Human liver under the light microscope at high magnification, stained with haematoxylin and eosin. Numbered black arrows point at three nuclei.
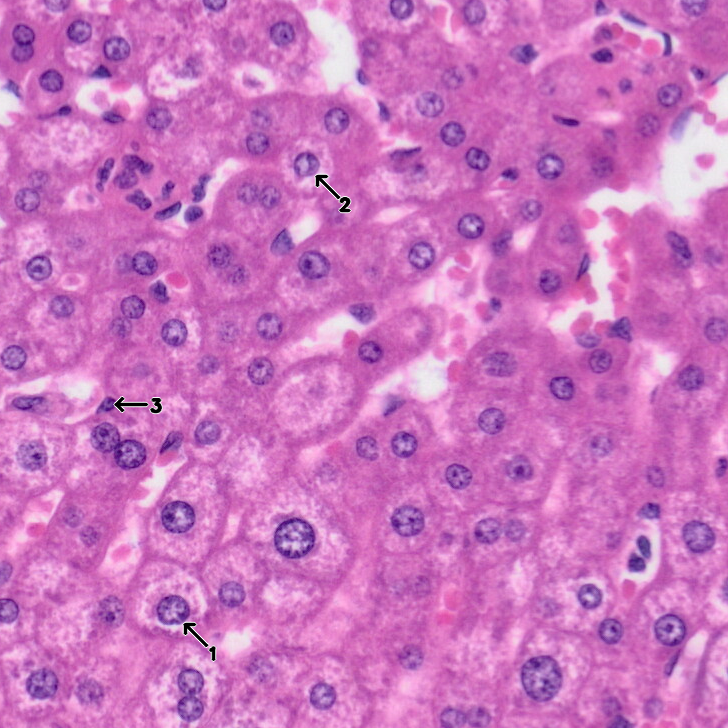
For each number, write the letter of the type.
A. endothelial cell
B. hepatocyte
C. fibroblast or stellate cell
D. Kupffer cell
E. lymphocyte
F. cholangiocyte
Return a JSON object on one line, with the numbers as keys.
{"1": "B", "2": "B", "3": "C"}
